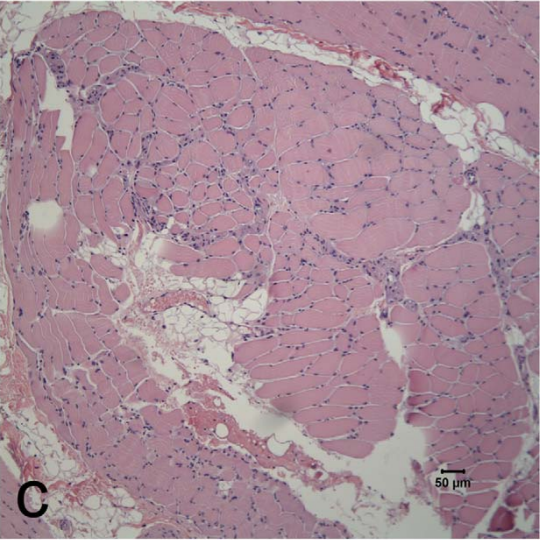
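A cross section of skeletal muscle shows pink polygonal fibers with peripheral purple nuclei, separated by thin pale borders. Fiber size varies markedly: groups of small, angular atrophic fibers lie clustered among larger fibers, giving a patchy appearance. Numerous nuclei are crowded between the small fibers. Centrally and along the upper edge, clusters of empty, round clear fat cells with thin walls lie between the fiber groups, together with loose connective tissue and some red blood cells near the margins.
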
